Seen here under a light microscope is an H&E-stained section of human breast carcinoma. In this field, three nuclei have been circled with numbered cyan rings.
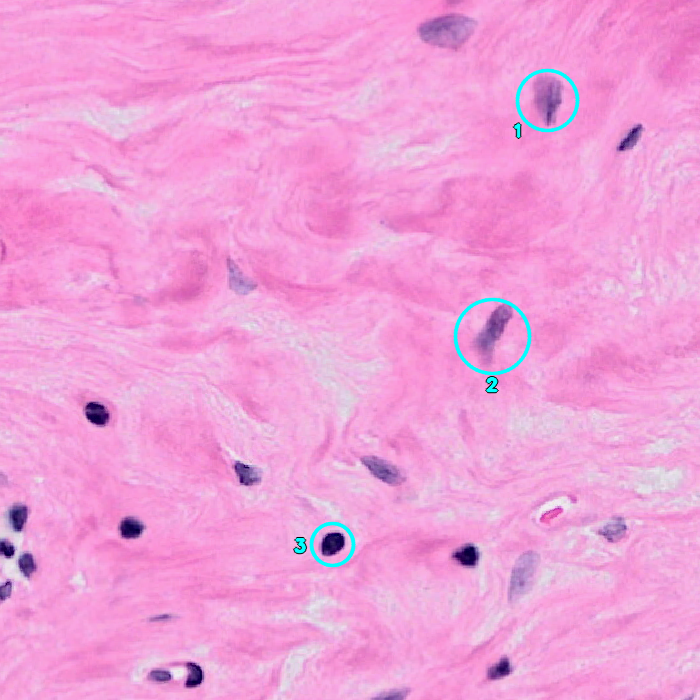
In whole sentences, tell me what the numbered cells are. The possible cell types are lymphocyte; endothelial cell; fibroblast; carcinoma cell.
Cells 1 and 2 are fibroblasts. Cell 3 is a lymphocyte.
